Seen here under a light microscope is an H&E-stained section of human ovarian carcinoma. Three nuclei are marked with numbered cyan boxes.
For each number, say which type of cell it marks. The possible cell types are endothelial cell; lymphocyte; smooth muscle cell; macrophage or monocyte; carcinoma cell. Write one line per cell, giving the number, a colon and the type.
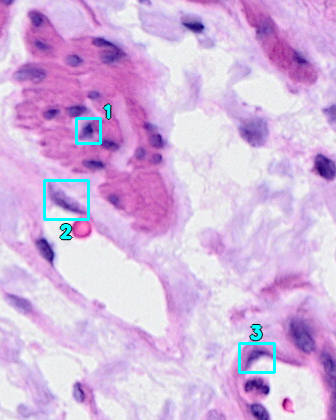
1: smooth muscle cell
2: endothelial cell
3: endothelial cell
